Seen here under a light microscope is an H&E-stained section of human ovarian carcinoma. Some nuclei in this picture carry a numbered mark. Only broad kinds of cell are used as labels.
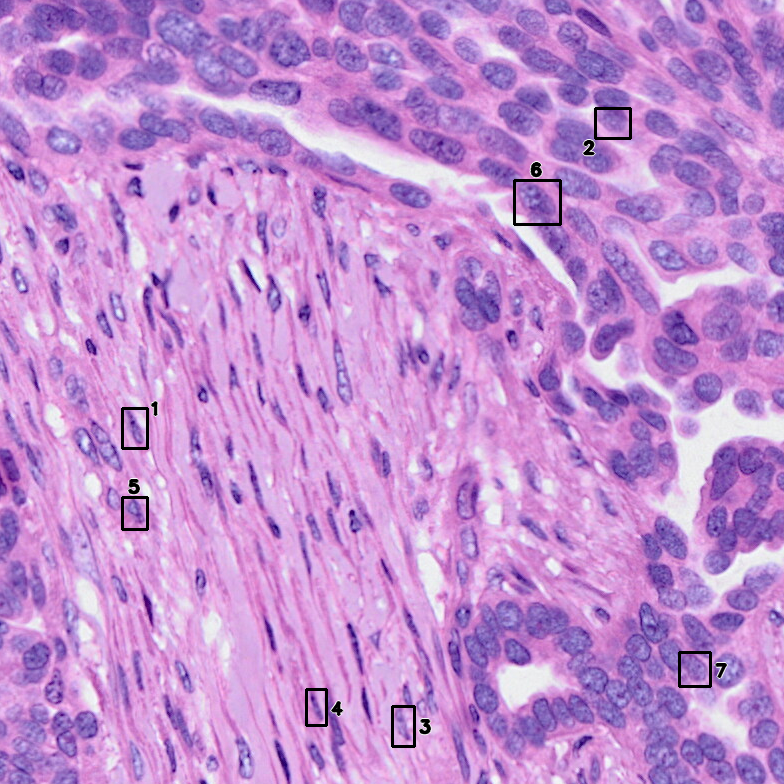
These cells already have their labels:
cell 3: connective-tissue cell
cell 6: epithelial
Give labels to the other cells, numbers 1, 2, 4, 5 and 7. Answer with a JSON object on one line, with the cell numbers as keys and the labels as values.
{"1": "connective-tissue cell", "2": "epithelial", "4": "connective-tissue cell", "5": "connective-tissue cell", "7": "epithelial"}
